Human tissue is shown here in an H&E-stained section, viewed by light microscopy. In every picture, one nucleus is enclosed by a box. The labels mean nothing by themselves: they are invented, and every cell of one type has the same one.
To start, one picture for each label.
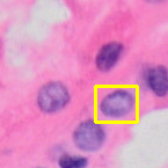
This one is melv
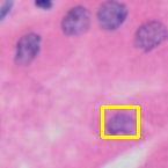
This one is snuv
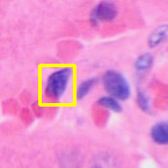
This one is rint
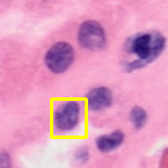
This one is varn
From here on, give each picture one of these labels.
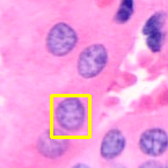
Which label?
snuv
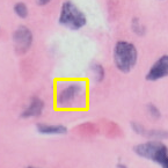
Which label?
varn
